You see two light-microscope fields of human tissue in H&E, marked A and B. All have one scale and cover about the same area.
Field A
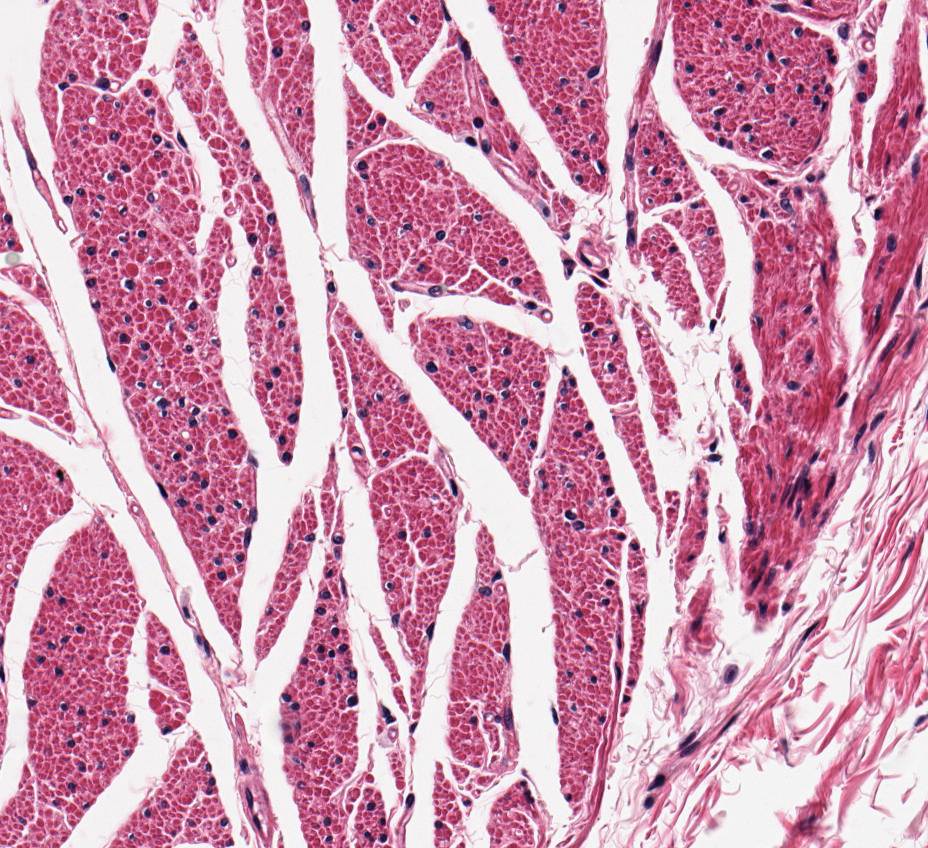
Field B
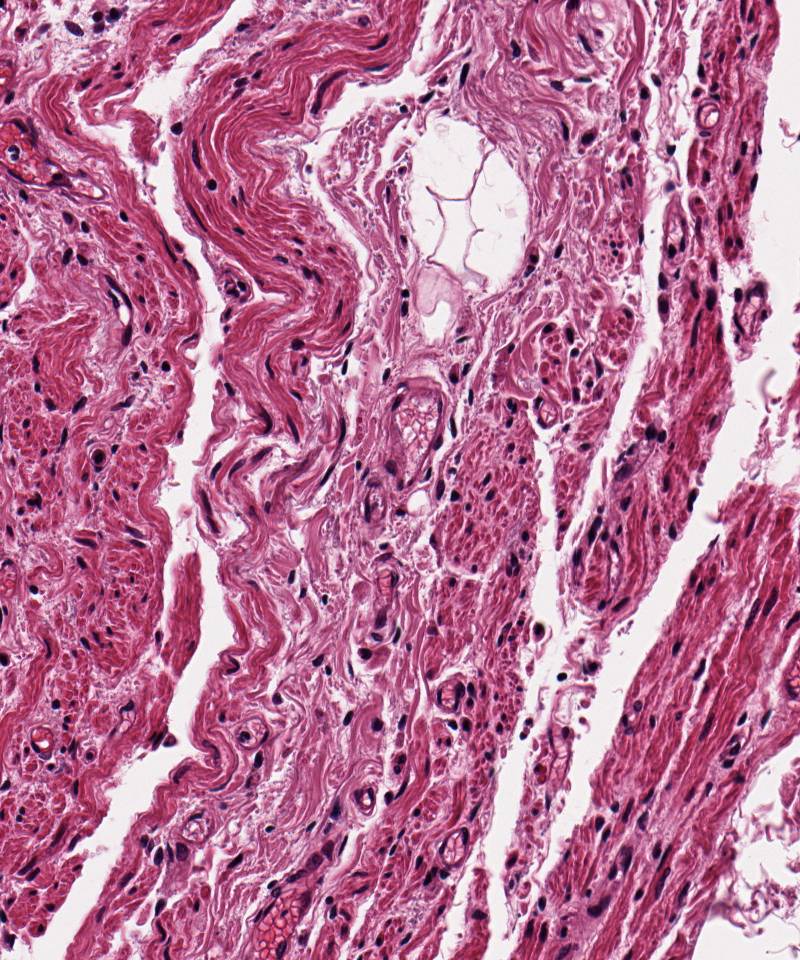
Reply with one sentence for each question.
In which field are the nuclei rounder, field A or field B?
Rounder nuclei lie in field A.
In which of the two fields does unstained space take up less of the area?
Unstained space takes up less of field B than of field A.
